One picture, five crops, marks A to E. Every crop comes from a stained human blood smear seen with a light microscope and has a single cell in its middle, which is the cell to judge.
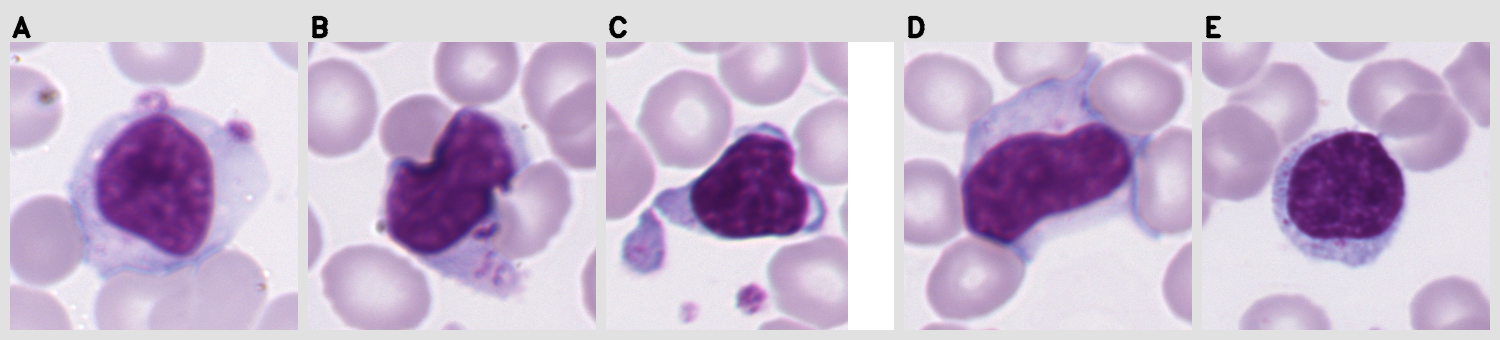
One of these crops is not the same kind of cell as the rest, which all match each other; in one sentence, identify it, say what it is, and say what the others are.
Shown in crop C is a typical lymphocyte, in contrast to the large granular lymphocytes of all the other crops.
